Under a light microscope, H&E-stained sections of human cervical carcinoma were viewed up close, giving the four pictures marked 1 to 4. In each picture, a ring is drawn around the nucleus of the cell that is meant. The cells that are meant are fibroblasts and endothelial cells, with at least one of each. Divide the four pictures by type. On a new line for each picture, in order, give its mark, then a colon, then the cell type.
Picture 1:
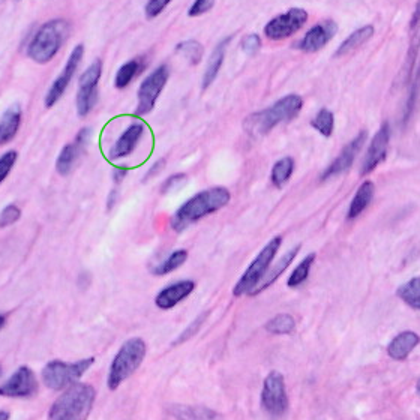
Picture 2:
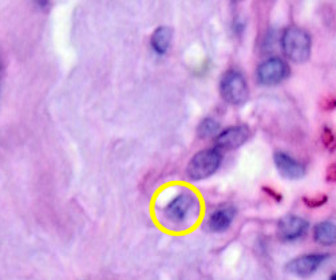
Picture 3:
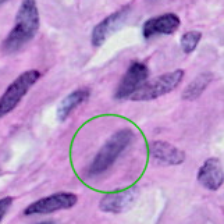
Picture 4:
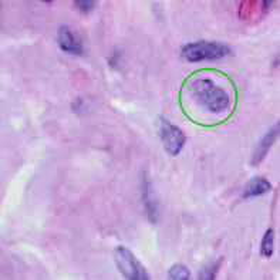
1: fibroblast
2: endothelial cell
3: fibroblast
4: fibroblast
